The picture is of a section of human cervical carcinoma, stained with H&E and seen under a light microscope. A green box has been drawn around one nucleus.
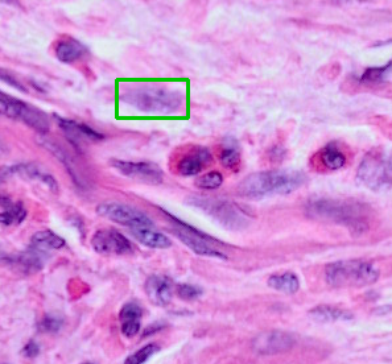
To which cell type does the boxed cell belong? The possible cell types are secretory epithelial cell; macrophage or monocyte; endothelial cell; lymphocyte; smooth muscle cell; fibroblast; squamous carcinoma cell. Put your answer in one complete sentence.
So far as cell type goes, the boxed cell is a fibroblast.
